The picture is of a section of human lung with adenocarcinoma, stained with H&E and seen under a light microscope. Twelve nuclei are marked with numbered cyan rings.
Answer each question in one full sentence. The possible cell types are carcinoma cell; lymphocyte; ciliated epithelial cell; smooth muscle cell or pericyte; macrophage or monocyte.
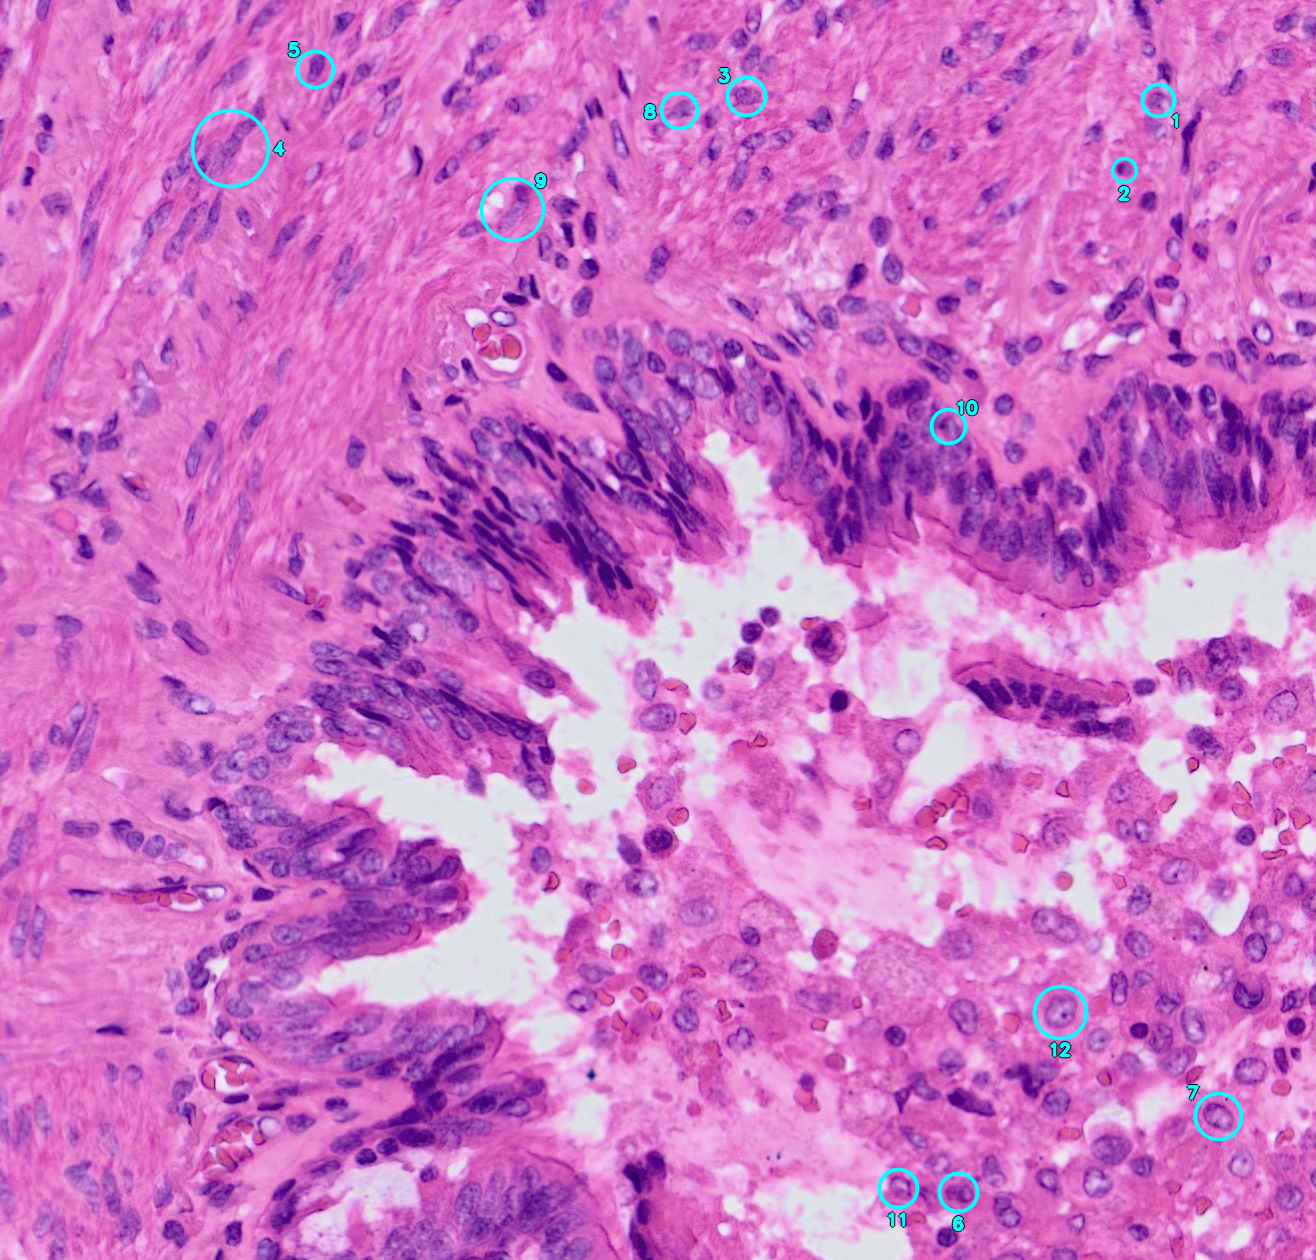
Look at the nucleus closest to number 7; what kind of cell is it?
The nearest nucleus to number 7 belongs to a macrophage or monocyte.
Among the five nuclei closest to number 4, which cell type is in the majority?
Smooth muscle cells or pericytes account for more than half of the five nuclei nearest to number 4.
